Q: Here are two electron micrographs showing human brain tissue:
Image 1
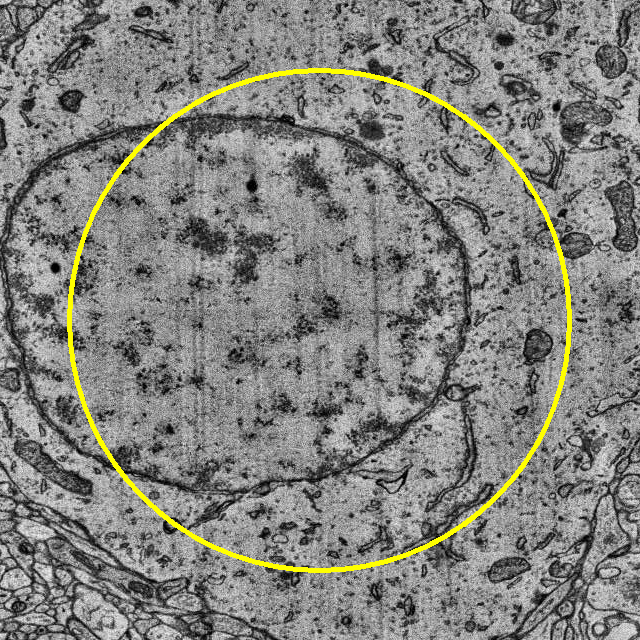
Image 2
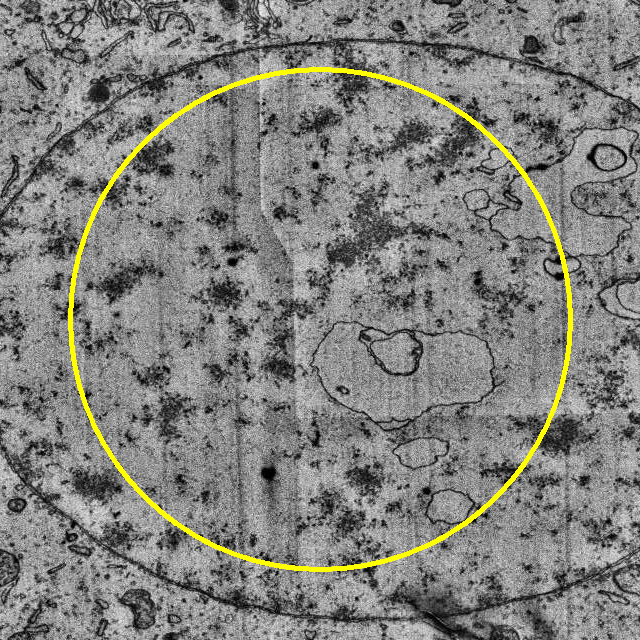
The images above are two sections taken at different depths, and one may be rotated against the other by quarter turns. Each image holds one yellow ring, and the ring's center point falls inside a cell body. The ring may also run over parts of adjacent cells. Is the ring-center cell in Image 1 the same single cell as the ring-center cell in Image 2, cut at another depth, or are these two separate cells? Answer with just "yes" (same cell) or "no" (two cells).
yes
